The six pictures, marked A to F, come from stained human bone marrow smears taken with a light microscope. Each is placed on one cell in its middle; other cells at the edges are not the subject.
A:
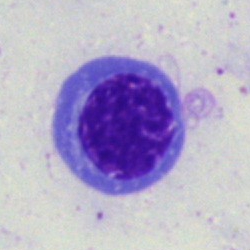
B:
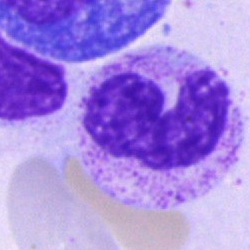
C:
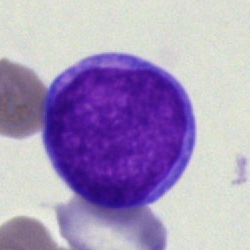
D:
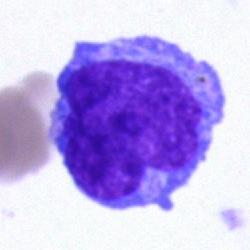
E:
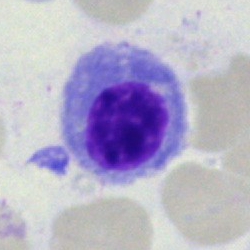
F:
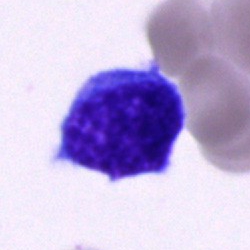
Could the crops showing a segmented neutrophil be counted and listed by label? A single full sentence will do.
Crop B alone shows a segmented neutrophil at its centre.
